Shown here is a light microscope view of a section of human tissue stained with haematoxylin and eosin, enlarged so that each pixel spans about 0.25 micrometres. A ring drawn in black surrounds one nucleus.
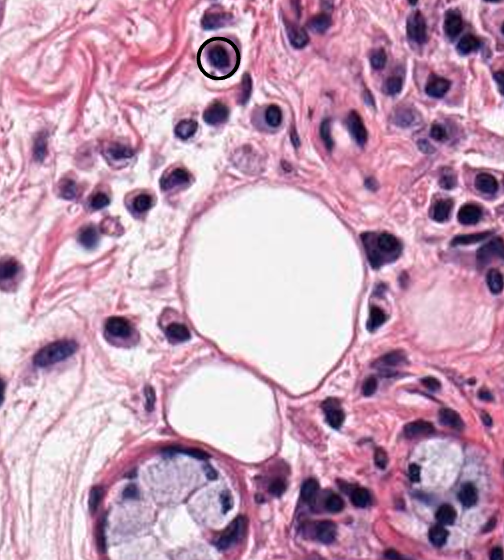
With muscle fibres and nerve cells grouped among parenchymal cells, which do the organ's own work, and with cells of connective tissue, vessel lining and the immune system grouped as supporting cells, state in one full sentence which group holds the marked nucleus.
A supporting cell is the owner of the marked nucleus.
